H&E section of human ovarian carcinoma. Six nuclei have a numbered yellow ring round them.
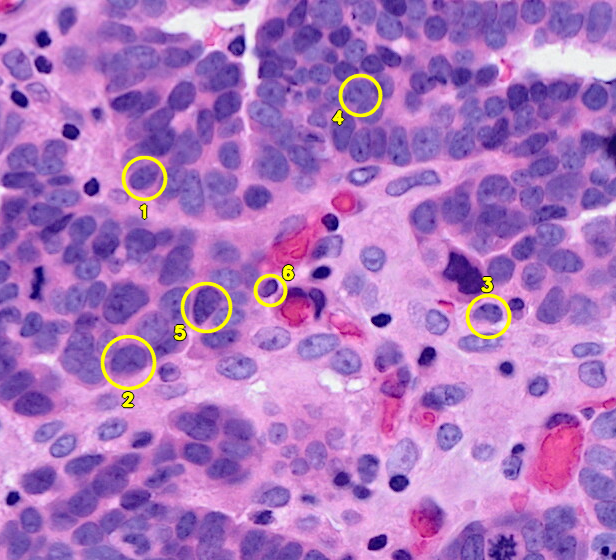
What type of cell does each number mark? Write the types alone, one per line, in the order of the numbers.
carcinoma cell
carcinoma cell
macrophage or monocyte
carcinoma cell
carcinoma cell
lymphocyte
